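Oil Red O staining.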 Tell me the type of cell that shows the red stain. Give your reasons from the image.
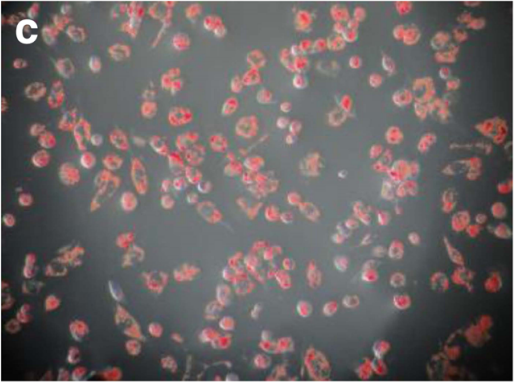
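Cells hold many red-stained droplets in their cytoplasm. Some red-filled cells are spread and irregular in outline. That points to this answer: foam cell.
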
